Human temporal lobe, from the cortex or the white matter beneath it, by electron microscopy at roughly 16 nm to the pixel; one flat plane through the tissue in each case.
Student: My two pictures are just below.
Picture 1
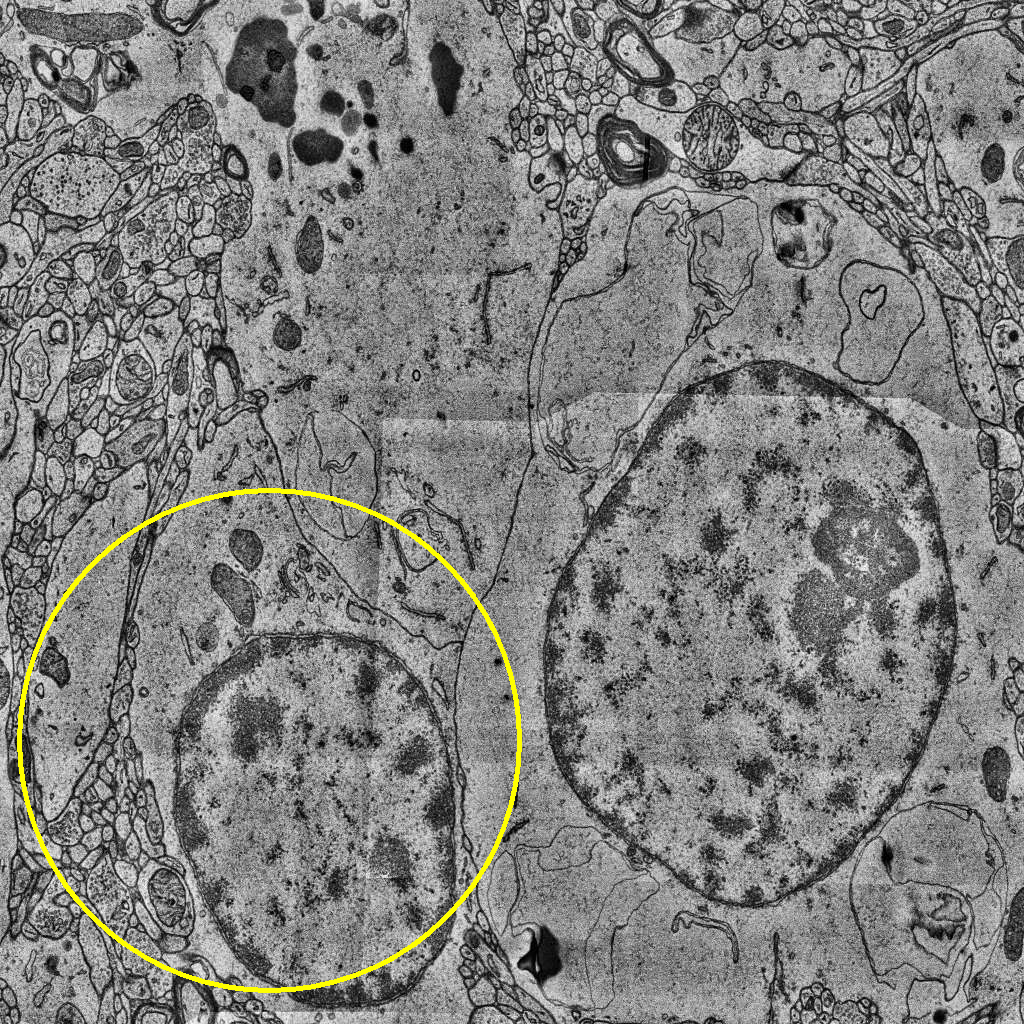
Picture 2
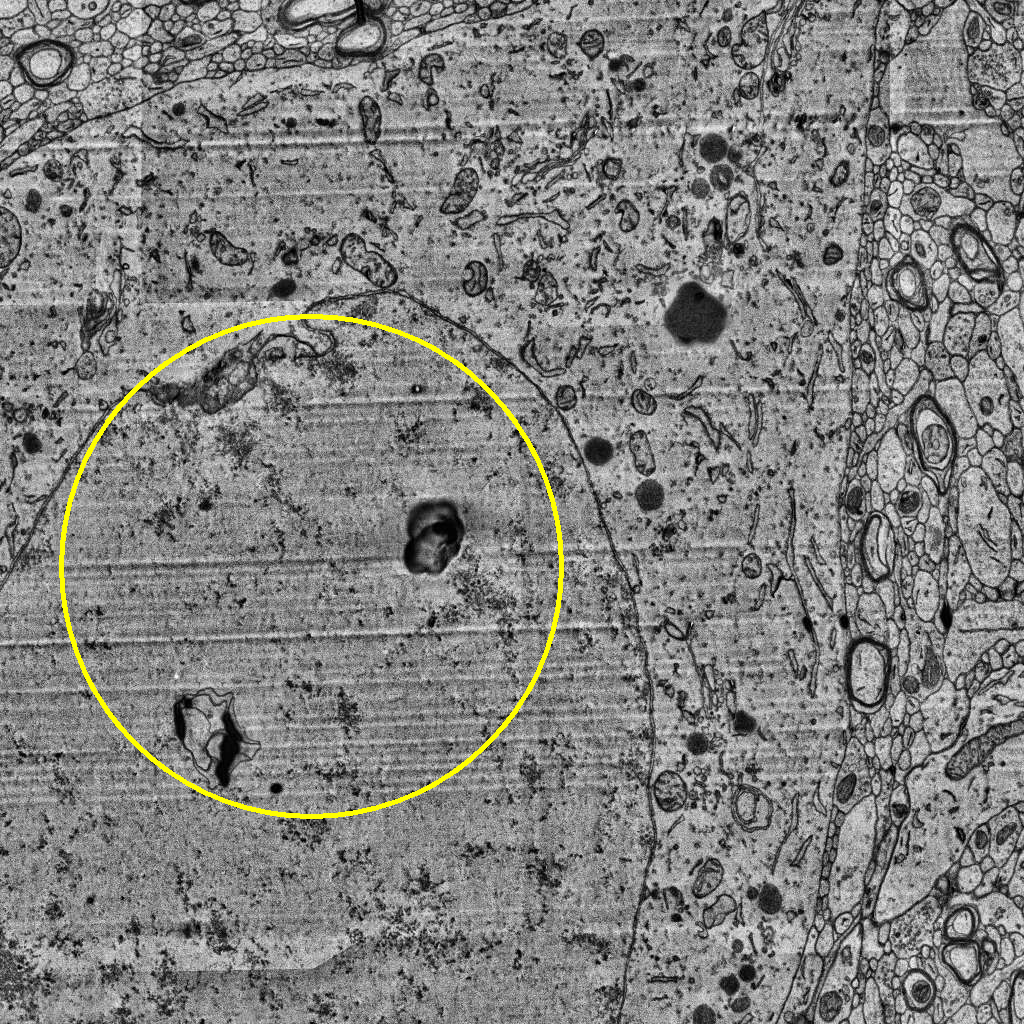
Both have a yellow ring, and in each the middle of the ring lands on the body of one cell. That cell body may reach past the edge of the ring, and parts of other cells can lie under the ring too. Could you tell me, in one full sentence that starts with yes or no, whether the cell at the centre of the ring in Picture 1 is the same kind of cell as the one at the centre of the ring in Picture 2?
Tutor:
No, the two cells are of two kinds.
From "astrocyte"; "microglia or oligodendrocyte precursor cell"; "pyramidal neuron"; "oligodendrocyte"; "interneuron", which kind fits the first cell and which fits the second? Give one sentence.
The cell in the first picture is an astrocyte, and the cell in the second is a pyramidal neuron.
